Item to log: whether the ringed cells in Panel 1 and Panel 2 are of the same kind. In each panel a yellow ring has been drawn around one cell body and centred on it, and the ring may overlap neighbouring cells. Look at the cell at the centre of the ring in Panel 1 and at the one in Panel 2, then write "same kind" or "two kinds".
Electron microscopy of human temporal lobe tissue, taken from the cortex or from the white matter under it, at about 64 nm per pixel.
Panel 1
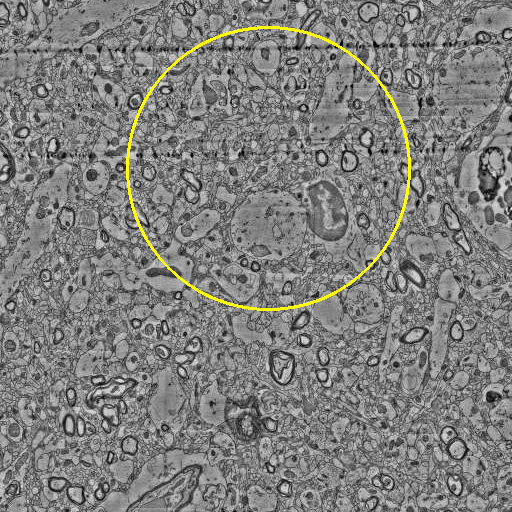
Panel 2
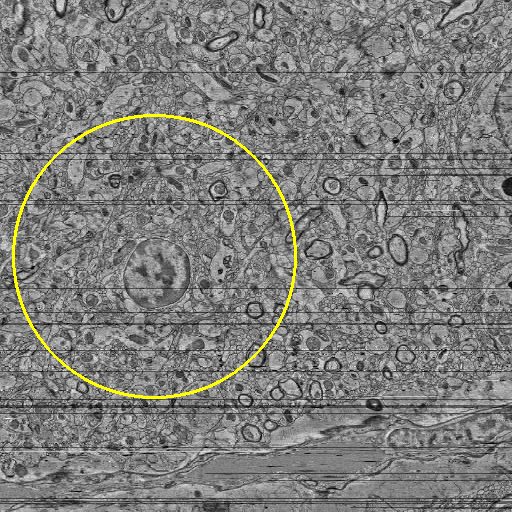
same kind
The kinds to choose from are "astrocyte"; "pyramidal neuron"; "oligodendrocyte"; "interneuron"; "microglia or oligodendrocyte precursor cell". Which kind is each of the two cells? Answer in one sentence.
Both cells are the same kind, each one being a microglial cell or oligodendrocyte precursor cell.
